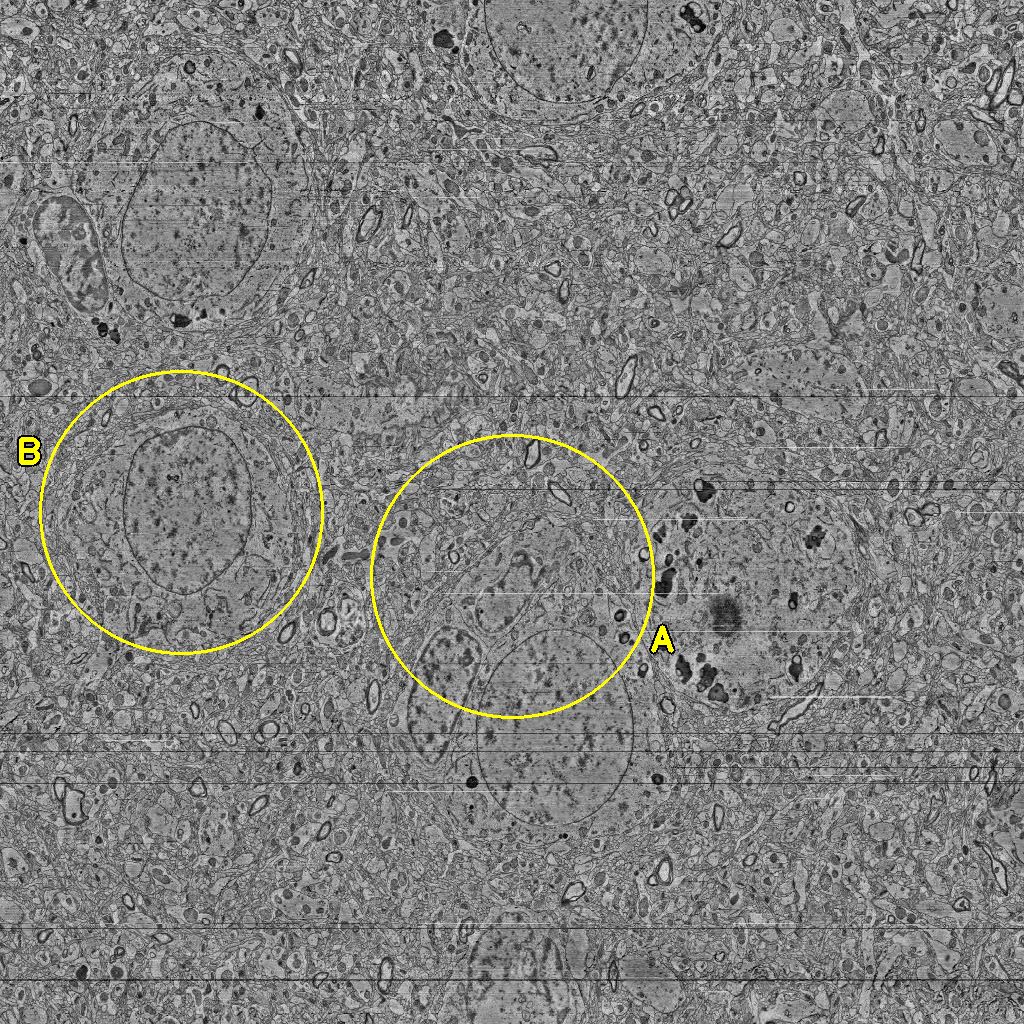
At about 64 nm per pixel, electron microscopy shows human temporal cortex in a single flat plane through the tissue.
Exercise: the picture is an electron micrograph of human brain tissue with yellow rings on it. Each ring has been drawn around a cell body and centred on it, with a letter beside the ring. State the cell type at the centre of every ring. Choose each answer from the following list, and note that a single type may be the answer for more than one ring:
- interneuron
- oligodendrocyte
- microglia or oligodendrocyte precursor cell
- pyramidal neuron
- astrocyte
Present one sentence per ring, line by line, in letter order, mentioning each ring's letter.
Ring A shows a microglial cell or oligodendrocyte precursor cell at its centre.
Ring B shows a pyramidal neuron at its centre.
